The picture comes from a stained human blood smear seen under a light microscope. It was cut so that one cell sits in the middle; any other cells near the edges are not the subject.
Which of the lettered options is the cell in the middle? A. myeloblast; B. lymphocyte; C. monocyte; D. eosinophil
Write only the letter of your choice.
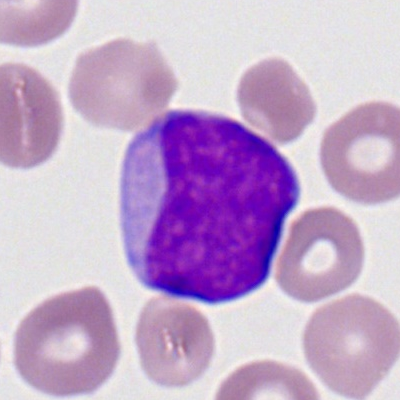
A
